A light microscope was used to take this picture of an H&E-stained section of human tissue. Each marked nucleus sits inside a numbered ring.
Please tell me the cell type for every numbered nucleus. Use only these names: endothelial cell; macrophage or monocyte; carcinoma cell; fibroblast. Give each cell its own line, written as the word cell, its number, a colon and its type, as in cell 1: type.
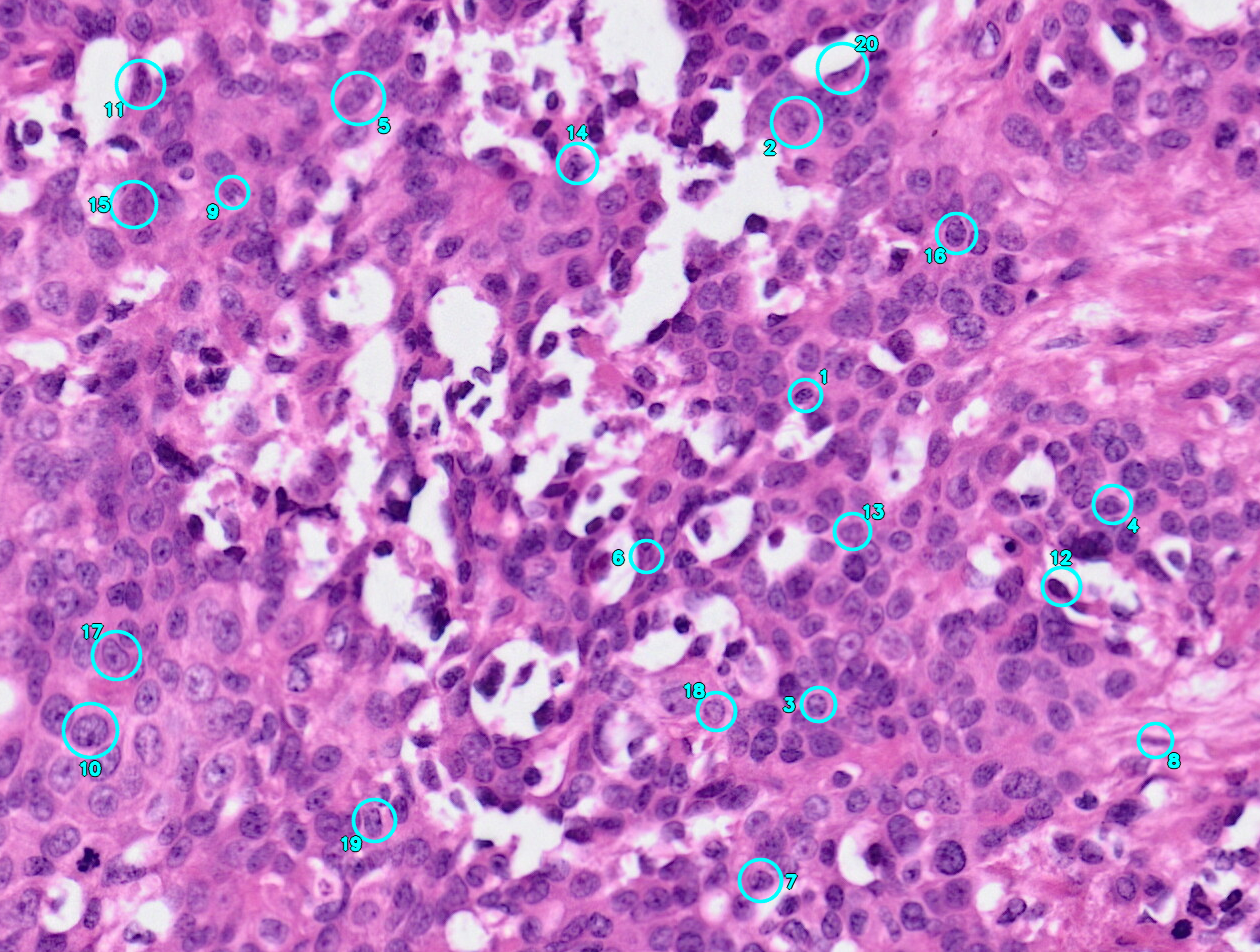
cell 1: macrophage or monocyte
cell 2: carcinoma cell
cell 3: macrophage or monocyte
cell 4: carcinoma cell
cell 5: carcinoma cell
cell 6: carcinoma cell
cell 7: macrophage or monocyte
cell 8: fibroblast
cell 9: endothelial cell
cell 10: carcinoma cell
cell 11: carcinoma cell
cell 12: carcinoma cell
cell 13: carcinoma cell
cell 14: macrophage or monocyte
cell 15: carcinoma cell
cell 16: macrophage or monocyte
cell 17: carcinoma cell
cell 18: macrophage or monocyte
cell 19: macrophage or monocyte
cell 20: carcinoma cell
